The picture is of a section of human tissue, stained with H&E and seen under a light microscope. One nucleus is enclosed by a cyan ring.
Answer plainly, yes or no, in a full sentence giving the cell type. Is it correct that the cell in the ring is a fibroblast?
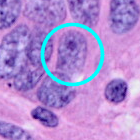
No, the cell in the ring is a carcinoma cell instead of a fibroblast.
